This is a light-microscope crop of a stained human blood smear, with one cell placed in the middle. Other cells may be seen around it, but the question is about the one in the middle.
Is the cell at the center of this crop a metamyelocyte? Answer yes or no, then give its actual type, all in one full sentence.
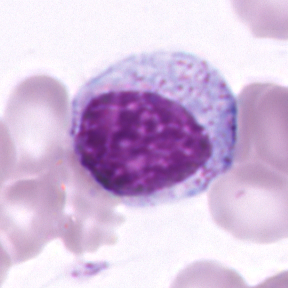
Yes, the middle cell is properly termed a metamyelocyte.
